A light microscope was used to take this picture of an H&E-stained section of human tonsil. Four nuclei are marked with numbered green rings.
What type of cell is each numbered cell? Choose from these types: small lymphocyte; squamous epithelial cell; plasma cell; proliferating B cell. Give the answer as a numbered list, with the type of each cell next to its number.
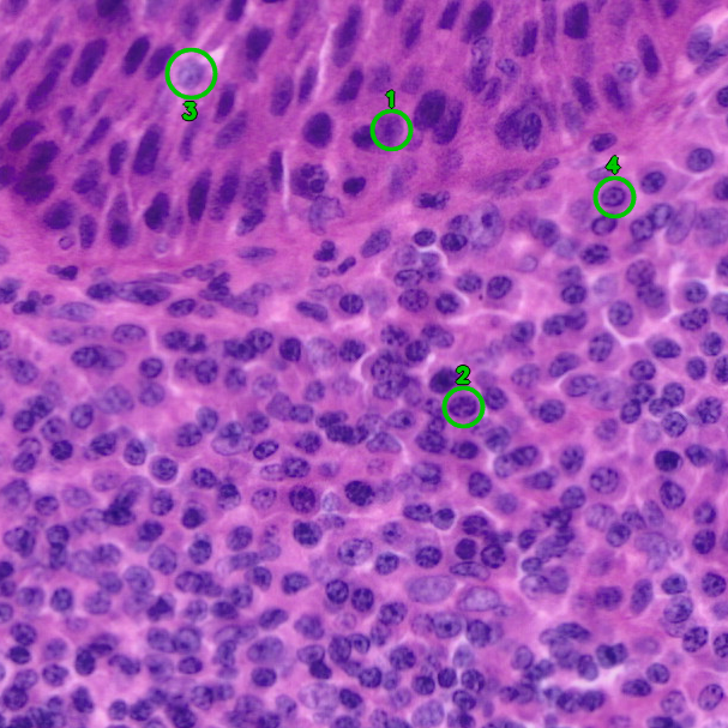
1. squamous epithelial cell
2. plasma cell
3. squamous epithelial cell
4. plasma cell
